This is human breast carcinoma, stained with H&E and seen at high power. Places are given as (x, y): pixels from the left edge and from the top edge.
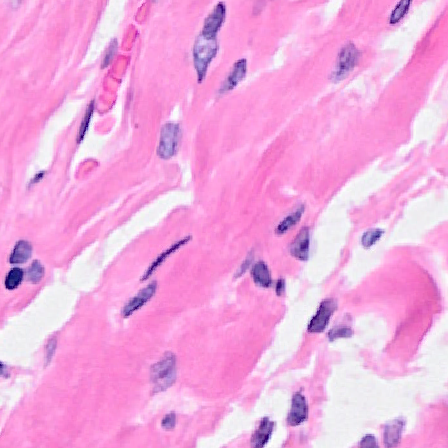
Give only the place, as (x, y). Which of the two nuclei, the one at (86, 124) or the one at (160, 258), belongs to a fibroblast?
(160, 258)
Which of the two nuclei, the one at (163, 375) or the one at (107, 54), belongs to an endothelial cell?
(107, 54)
